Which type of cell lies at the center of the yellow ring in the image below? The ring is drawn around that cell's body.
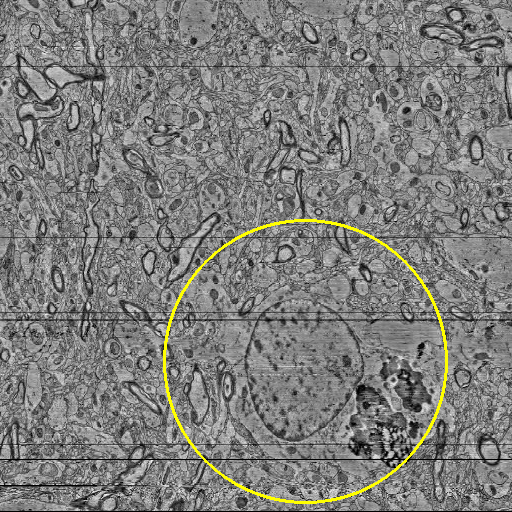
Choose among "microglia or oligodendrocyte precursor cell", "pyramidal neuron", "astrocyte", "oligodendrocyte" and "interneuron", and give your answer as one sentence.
The cell body at the center belongs to an astrocyte.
